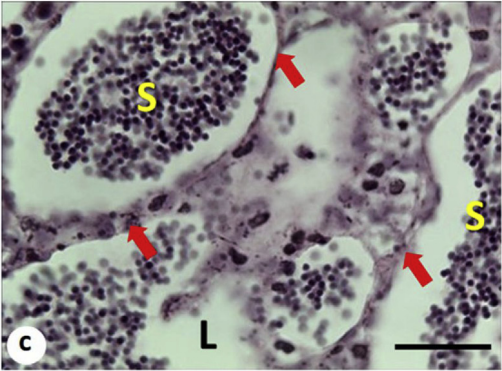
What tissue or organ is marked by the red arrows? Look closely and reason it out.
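The arrows point to pink-staining strands lying between the rounded clusters of small dark cells. These strands contain scattered larger, paler nuclei of somatic cells.
Answer: interstitial tissues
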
